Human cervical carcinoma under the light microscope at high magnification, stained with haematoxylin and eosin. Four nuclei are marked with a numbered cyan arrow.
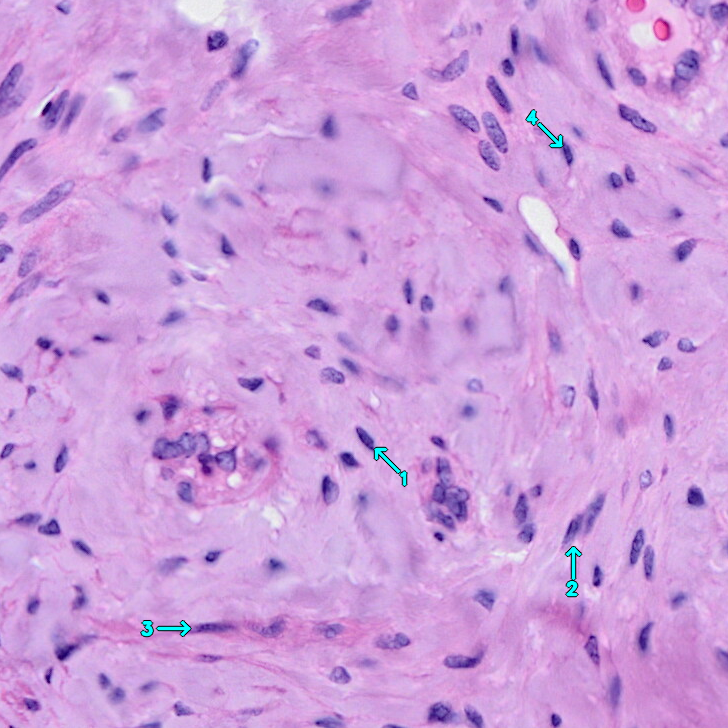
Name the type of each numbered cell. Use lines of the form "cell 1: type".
cell 1: fibroblast
cell 2: fibroblast
cell 3: smooth muscle cell
cell 4: fibroblast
